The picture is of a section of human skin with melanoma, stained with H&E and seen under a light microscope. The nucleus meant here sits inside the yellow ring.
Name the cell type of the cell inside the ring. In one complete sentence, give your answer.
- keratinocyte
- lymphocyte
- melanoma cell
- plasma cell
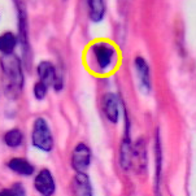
It is as a lymphocyte that the cell inside the ring is recorded.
